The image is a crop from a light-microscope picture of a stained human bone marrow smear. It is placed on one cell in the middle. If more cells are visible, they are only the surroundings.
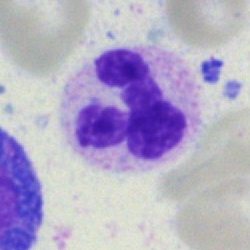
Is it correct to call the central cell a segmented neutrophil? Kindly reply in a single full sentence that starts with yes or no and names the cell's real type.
Yes, the cell at the middle of the field is to be classed as a segmented neutrophil.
